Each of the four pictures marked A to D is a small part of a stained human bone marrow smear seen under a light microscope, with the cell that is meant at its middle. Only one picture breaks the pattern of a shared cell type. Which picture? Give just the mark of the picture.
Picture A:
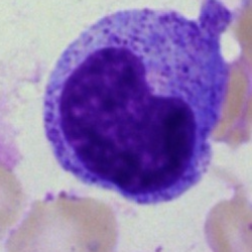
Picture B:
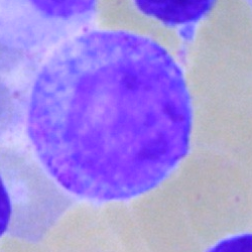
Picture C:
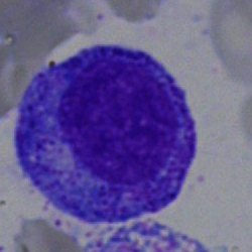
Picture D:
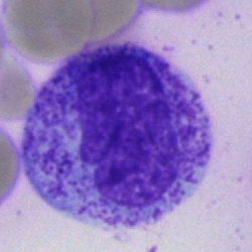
D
